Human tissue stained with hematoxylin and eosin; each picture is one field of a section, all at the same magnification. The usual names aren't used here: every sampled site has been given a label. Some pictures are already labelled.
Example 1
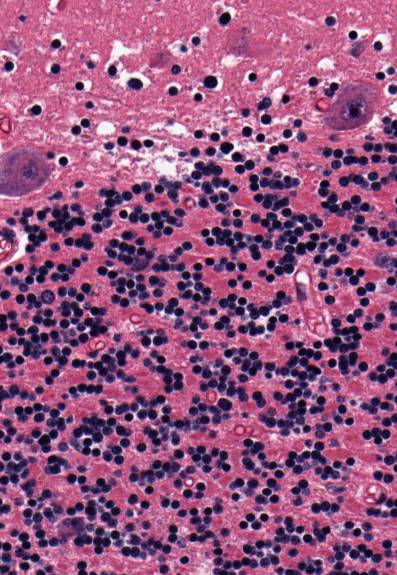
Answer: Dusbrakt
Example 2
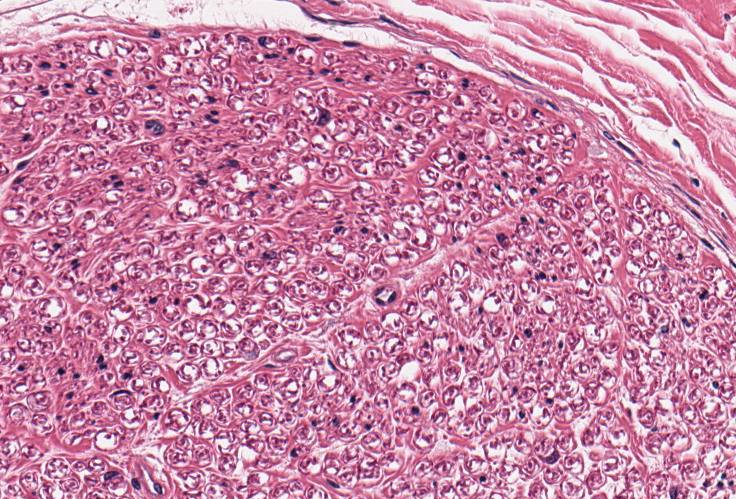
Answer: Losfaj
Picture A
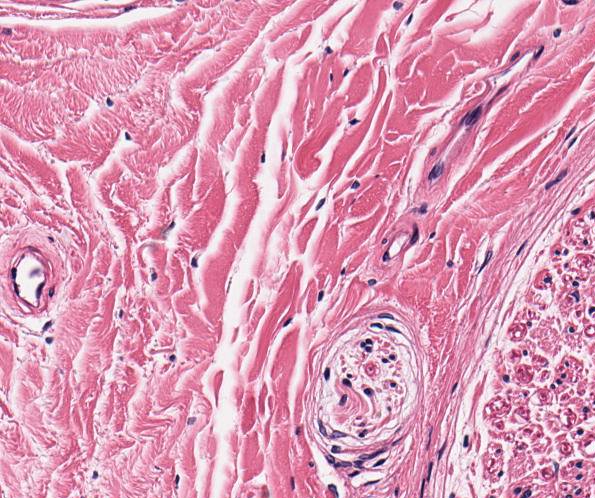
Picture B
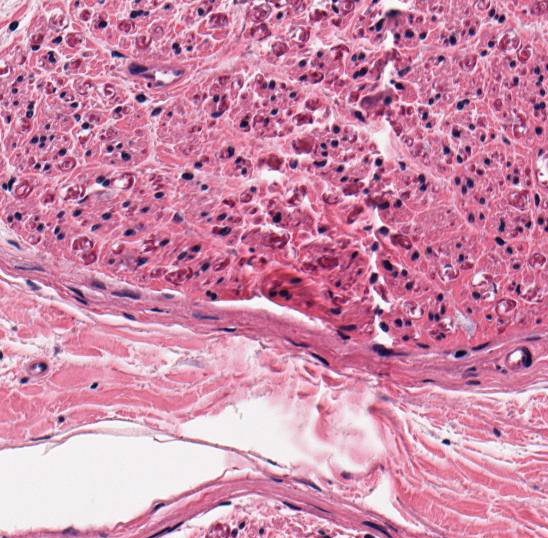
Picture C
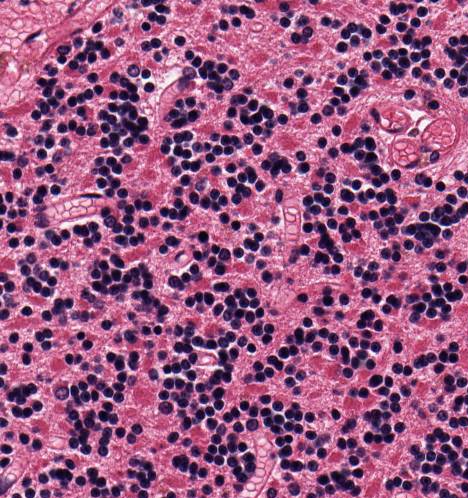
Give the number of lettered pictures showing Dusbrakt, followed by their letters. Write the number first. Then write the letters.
1: C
